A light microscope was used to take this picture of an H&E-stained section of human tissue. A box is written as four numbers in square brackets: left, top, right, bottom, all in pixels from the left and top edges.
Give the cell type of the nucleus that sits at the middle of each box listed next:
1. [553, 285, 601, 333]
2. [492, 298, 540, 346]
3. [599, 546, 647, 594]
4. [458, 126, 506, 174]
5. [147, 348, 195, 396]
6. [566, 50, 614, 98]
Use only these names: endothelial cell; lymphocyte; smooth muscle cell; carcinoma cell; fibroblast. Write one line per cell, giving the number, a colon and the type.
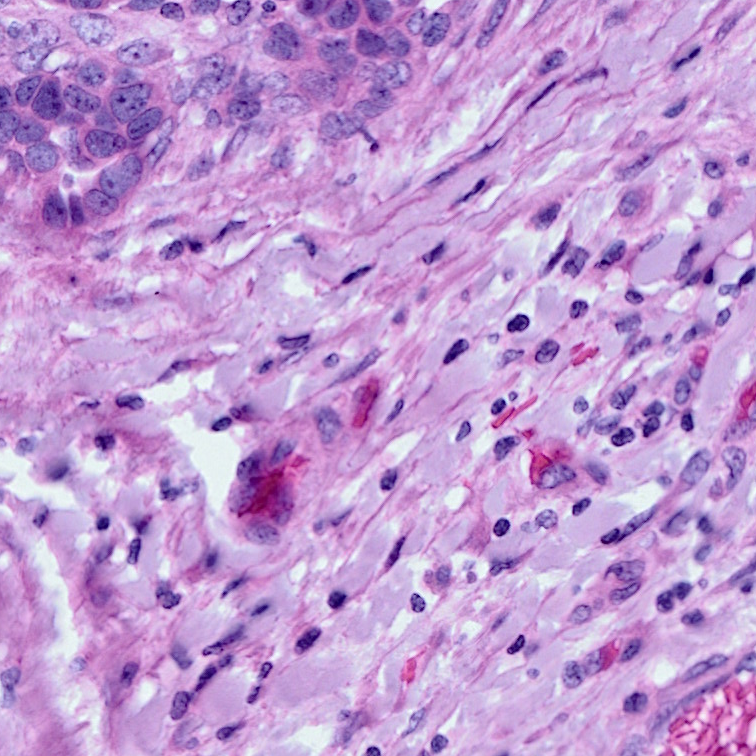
1: lymphocyte
2: lymphocyte
3: endothelial cell
4: fibroblast
5: fibroblast
6: fibroblast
